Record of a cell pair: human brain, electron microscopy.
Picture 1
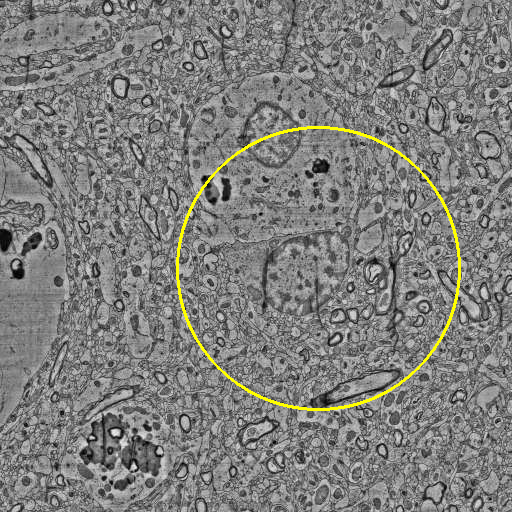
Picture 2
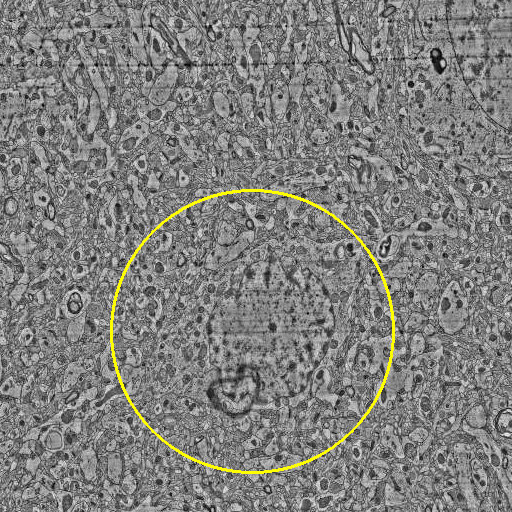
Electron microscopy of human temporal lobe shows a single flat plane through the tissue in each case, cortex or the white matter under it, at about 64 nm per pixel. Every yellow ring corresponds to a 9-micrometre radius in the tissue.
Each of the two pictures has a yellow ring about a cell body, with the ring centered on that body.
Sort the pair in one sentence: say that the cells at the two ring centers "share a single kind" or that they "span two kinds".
The cells centered in the rings of Pictures 1 and 2 span two kinds.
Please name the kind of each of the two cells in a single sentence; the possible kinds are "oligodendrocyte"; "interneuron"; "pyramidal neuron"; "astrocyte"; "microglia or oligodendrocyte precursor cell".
In the first picture the ring is centred on an oligodendrocyte, and in the second on an interneuron.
